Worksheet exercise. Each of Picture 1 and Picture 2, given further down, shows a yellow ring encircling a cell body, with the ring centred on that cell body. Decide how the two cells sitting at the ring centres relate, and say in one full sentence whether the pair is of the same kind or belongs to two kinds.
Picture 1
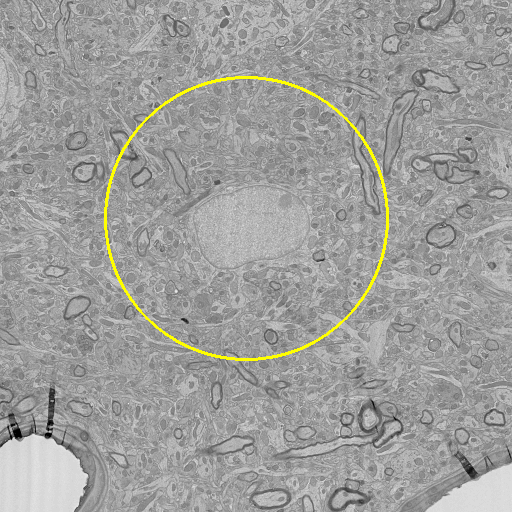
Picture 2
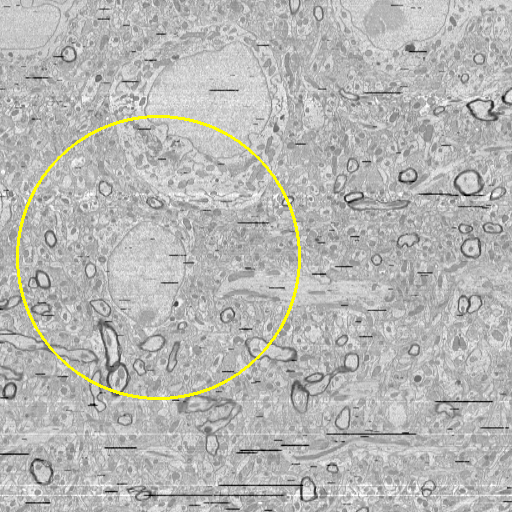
The cells at the ring centres in Picture 1 and Picture 2 are of the same kind.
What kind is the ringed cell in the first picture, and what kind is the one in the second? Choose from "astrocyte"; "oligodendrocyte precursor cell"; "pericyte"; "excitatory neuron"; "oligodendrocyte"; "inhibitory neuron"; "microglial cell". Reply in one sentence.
Both the first and the second picture show an astrocyte in the ring.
